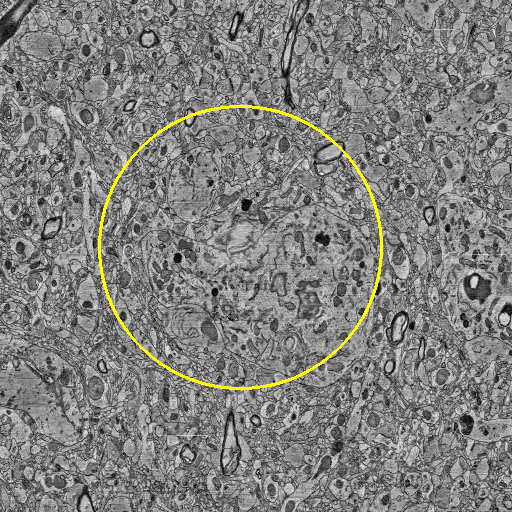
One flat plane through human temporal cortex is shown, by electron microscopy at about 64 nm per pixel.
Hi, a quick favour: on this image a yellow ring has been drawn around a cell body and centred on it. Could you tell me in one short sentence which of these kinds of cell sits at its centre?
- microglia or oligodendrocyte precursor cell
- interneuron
The ring is centred on a microglial cell or oligodendrocyte precursor cell.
